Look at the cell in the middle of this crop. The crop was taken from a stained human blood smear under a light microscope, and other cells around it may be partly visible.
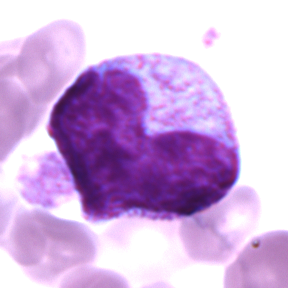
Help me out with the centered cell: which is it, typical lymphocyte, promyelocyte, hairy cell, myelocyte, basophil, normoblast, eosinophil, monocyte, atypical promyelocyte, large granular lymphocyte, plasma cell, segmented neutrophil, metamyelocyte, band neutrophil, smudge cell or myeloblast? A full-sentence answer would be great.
Classified as a band neutrophil is the cell in the middle of this crop.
